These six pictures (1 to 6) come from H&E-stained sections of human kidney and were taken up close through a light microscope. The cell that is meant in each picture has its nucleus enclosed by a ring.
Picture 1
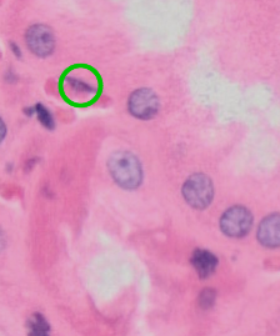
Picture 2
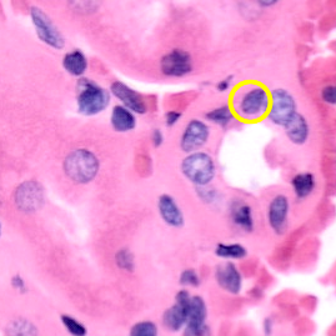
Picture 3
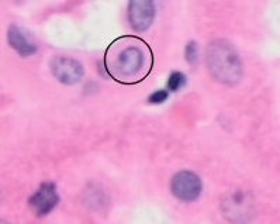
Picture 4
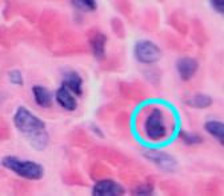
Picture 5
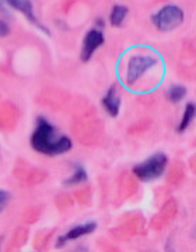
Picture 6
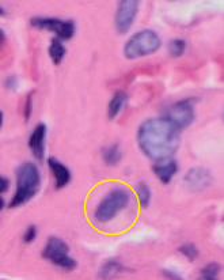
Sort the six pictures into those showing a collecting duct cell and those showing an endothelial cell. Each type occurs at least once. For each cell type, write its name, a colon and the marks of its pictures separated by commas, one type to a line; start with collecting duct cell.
collecting duct cell: 2, 3, 6
endothelial cell: 1, 4, 5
